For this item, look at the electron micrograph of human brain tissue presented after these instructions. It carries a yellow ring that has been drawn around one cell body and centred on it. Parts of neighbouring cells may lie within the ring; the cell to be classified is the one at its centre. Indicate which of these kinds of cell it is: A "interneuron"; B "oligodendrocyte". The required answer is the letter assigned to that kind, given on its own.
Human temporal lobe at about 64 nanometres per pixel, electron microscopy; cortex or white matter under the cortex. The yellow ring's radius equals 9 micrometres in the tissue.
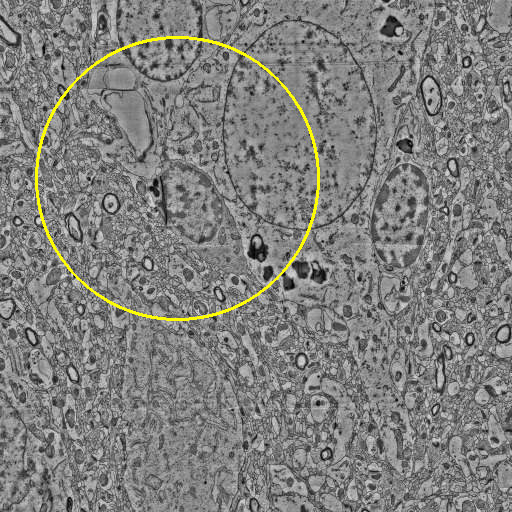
B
